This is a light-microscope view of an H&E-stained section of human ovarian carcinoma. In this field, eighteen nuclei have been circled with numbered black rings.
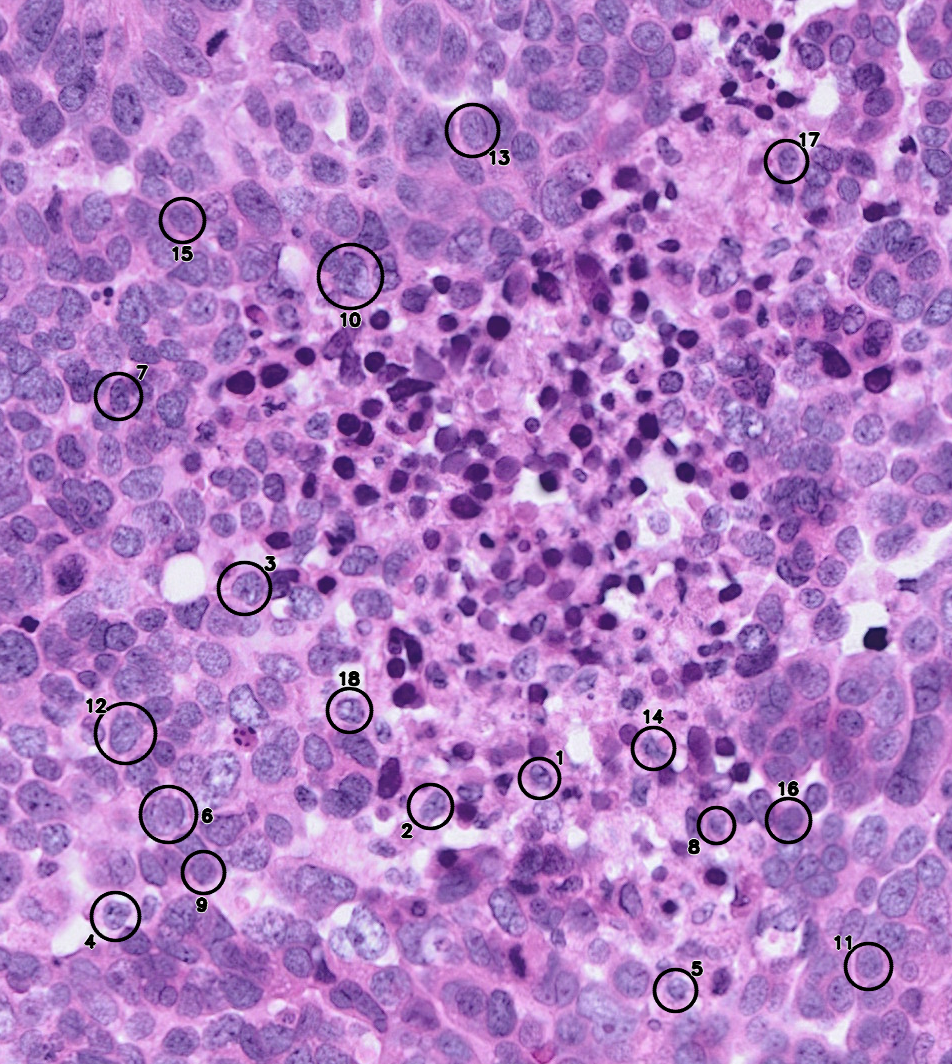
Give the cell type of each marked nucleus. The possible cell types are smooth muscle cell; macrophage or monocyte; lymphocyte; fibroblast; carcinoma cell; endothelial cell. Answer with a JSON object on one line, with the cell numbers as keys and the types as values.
{"1": "macrophage or monocyte", "2": "macrophage or monocyte", "3": "carcinoma cell", "4": "macrophage or monocyte", "5": "macrophage or monocyte", "6": "carcinoma cell", "7": "carcinoma cell", "8": "macrophage or monocyte", "9": "carcinoma cell", "10": "carcinoma cell", "11": "carcinoma cell", "12": "carcinoma cell", "13": "carcinoma cell", "14": "macrophage or monocyte", "15": "carcinoma cell", "16": "carcinoma cell", "17": "macrophage or monocyte", "18": "macrophage or monocyte"}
